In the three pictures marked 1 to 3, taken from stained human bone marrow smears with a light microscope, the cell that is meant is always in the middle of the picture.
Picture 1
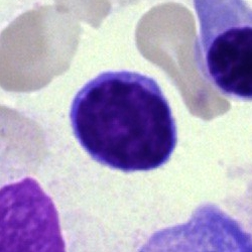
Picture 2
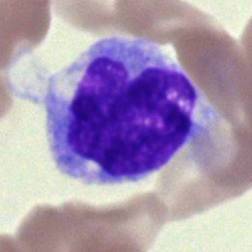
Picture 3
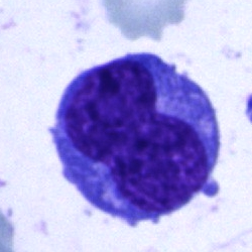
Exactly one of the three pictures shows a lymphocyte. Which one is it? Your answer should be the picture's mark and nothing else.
1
